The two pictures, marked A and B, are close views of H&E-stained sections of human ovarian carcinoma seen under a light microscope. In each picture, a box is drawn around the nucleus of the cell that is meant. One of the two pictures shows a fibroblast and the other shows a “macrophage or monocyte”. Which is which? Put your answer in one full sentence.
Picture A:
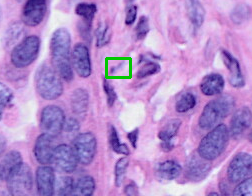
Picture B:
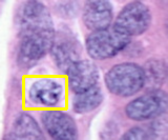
Picture B shows a “macrophage or monocyte”, while picture A shows a fibroblast.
